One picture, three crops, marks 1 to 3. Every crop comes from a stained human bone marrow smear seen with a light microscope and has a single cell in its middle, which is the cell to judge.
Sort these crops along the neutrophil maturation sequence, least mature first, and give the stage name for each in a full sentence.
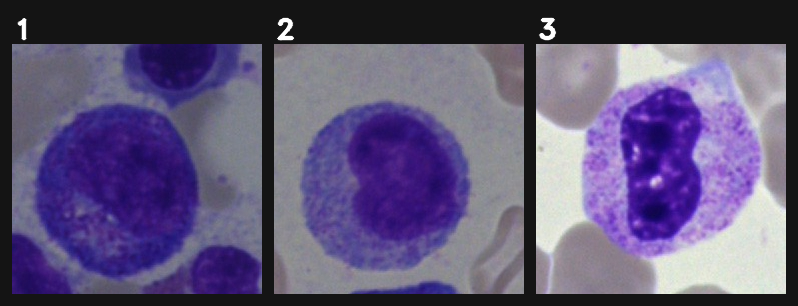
From earliest stage to latest stage, the sequence is crop 1 (a promyelocyte), crop 2 (a myelocyte) and crop 3 (a metamyelocyte).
